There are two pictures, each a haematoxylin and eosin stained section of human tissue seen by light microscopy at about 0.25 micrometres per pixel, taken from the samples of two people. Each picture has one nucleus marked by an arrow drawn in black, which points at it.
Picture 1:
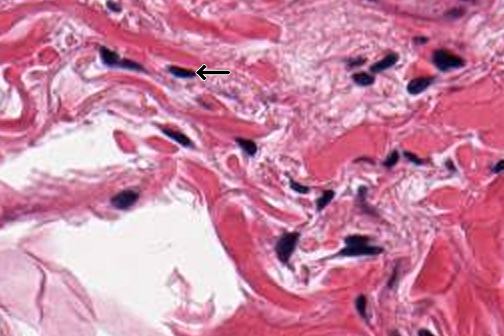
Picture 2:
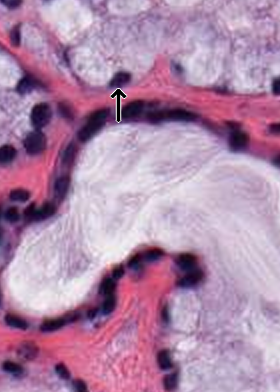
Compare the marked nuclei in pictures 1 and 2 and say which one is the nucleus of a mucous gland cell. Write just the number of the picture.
2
